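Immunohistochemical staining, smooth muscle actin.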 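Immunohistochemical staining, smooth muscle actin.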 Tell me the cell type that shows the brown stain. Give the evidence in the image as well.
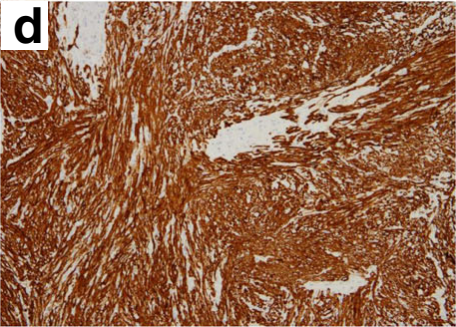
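Spindle tumor cells. Nearly all elongated cells are filled with brown stain. The brown cells form intersecting bundles.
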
